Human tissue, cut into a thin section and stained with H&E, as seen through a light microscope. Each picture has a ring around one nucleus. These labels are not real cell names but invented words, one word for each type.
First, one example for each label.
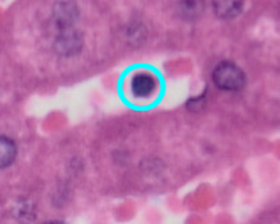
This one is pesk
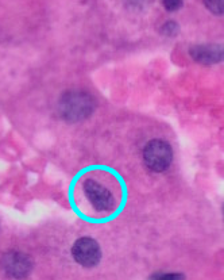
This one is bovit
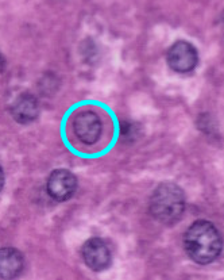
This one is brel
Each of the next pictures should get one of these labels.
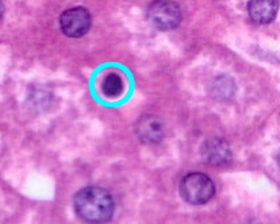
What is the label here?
pesk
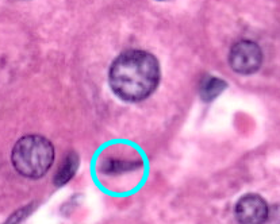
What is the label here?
bovit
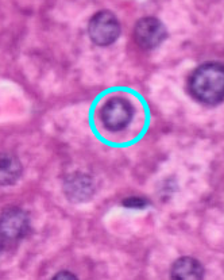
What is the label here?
brel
